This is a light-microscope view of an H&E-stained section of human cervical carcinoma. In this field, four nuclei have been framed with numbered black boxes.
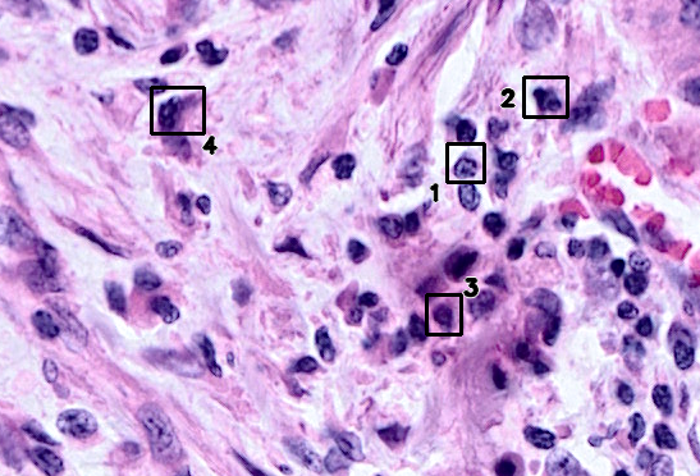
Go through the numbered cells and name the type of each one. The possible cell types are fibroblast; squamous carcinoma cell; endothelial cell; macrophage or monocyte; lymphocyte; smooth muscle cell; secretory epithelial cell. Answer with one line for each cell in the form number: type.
1: lymphocyte
2: lymphocyte
3: lymphocyte
4: macrophage or monocyte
